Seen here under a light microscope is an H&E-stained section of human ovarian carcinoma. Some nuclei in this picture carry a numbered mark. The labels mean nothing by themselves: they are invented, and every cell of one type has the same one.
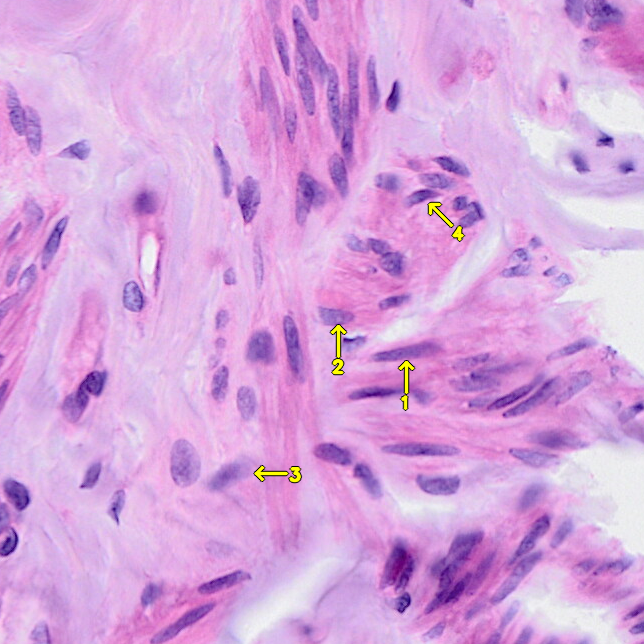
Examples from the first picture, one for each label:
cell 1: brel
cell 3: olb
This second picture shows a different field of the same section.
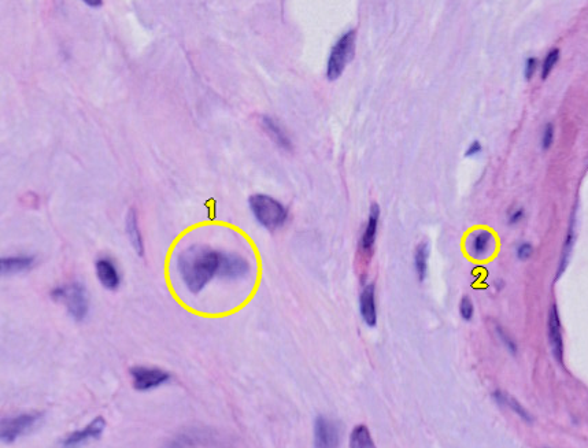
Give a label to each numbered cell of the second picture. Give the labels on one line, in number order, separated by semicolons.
olb; brel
